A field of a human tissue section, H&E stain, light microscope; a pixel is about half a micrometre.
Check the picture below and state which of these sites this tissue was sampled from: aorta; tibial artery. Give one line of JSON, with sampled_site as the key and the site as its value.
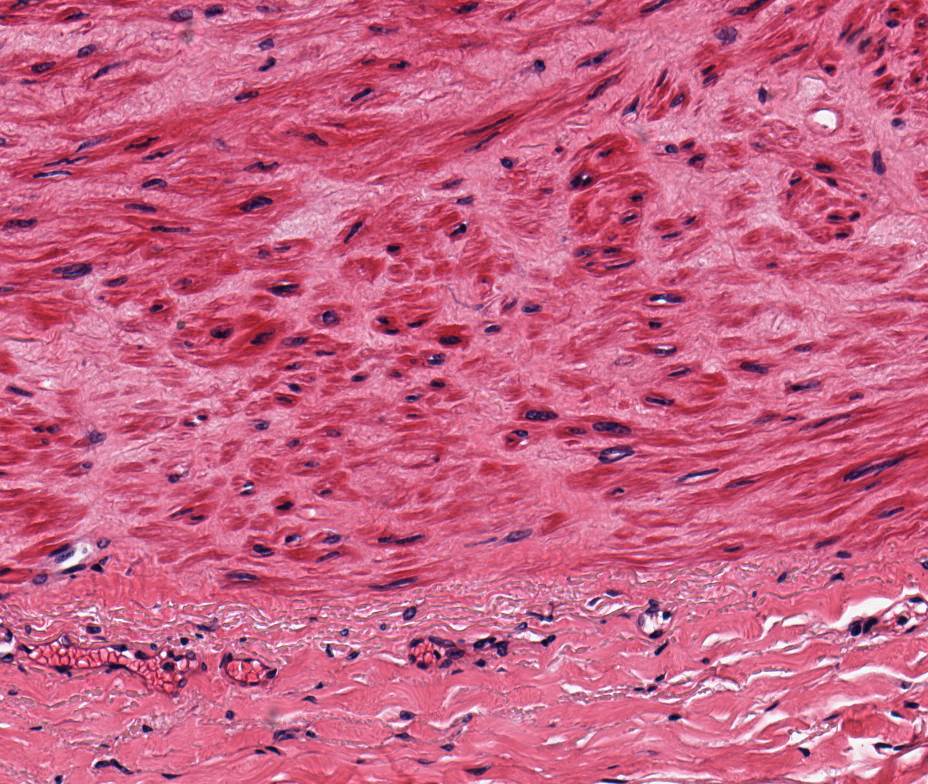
{"sampled_site": "tibial artery"}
